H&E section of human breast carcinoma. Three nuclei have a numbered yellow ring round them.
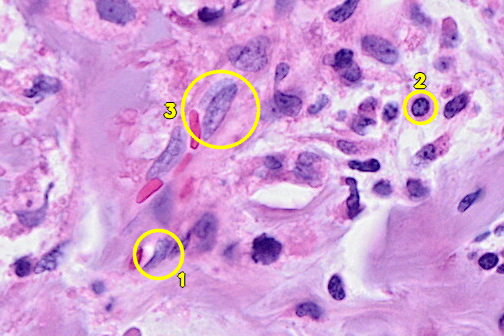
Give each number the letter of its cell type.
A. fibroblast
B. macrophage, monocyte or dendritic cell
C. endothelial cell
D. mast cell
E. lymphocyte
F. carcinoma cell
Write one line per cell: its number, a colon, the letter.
1: C
2: D
3: C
